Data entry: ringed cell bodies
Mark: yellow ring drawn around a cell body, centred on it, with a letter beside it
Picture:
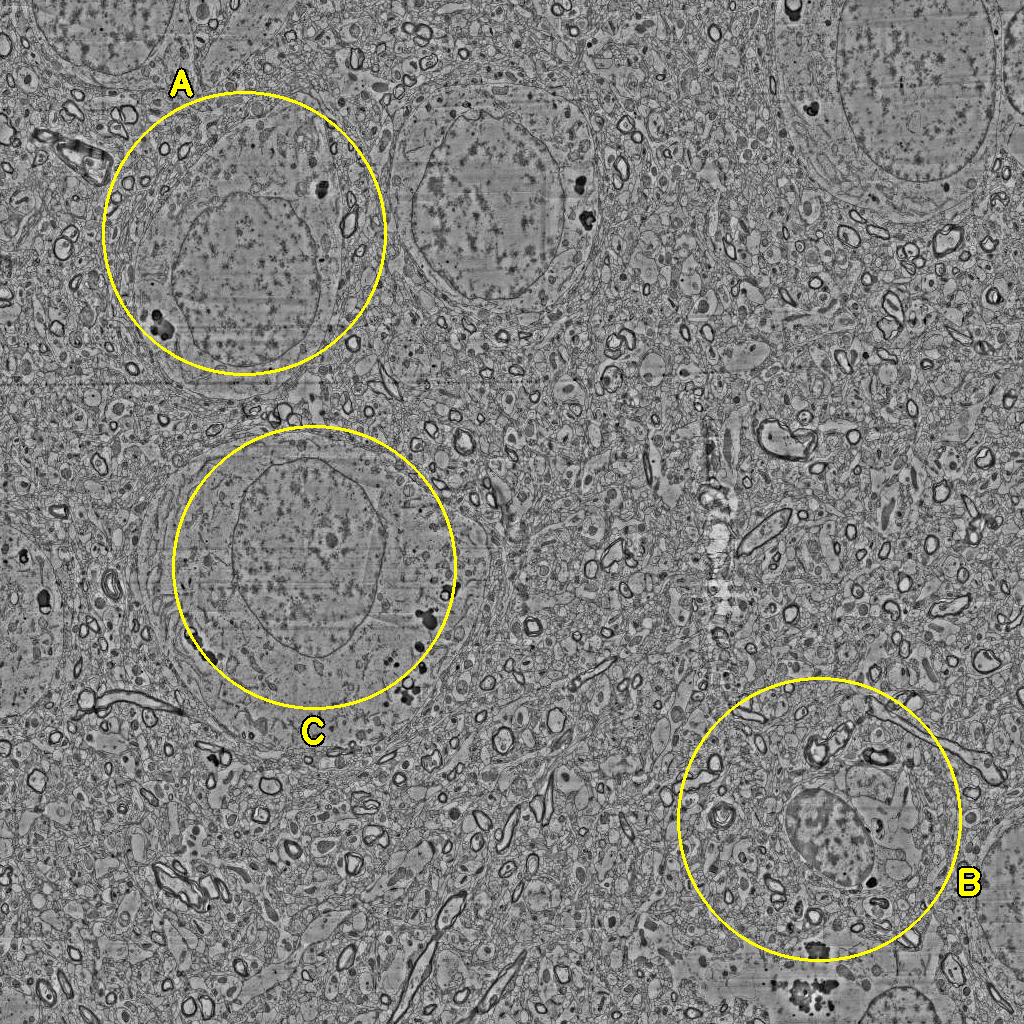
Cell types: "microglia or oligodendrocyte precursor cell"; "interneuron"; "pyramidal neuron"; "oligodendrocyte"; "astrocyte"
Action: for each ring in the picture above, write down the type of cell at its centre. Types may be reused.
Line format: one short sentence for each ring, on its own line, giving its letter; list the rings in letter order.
For ring A, the cell at the centre is a pyramidal neuron.
For ring B, the cell at the centre is a microglial cell or oligodendrocyte precursor cell.
For ring C, the cell at the centre is a pyramidal neuron.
